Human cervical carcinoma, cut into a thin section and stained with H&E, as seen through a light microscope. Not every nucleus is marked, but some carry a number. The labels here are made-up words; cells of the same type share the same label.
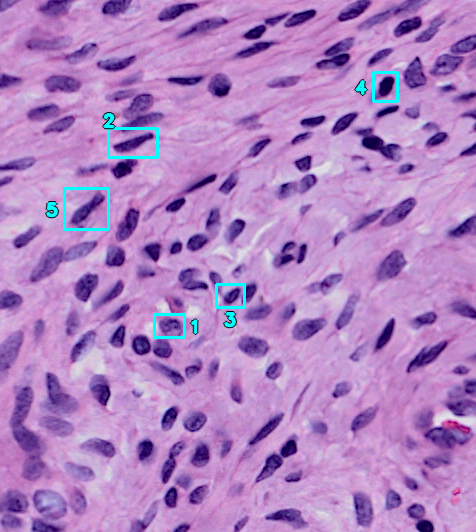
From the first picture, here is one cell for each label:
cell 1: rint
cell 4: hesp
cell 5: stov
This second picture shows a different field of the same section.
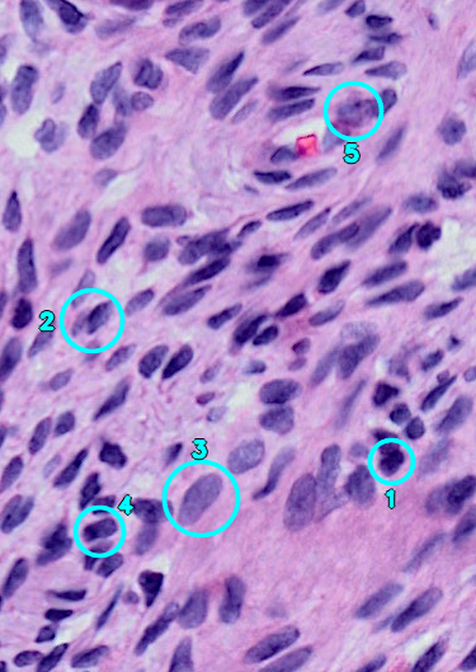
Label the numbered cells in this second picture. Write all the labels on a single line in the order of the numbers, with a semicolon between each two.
hesp; stov; stov; stov; rint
